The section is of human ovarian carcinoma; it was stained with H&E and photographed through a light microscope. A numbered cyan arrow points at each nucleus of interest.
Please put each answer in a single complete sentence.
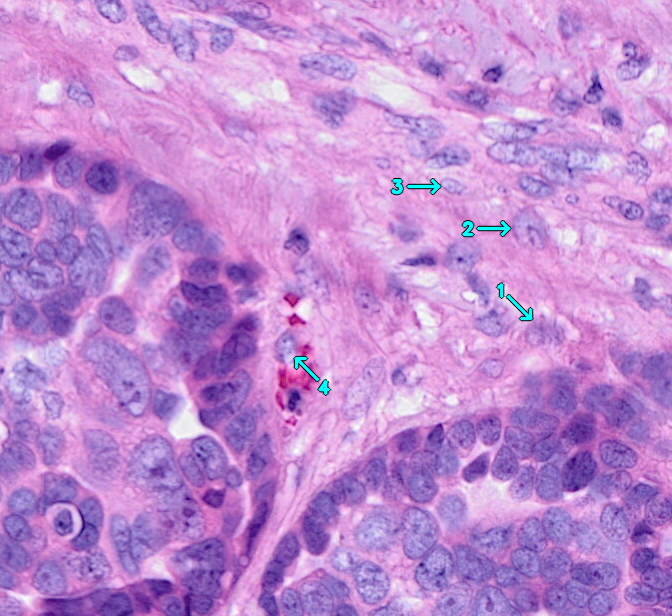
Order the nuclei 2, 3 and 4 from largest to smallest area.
By area, largest first, they run 2, 4, 3.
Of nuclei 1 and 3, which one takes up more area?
Nucleus 1 is the larger one, covering about 3 times the area of nucleus 3.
